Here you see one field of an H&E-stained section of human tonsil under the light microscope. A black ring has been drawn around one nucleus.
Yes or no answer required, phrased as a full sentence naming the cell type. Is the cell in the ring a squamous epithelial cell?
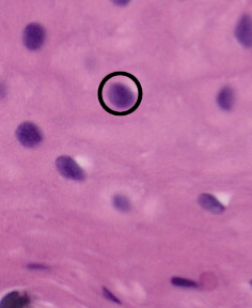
Yes, it is the case that the cell in the ring is a squamous epithelial cell.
